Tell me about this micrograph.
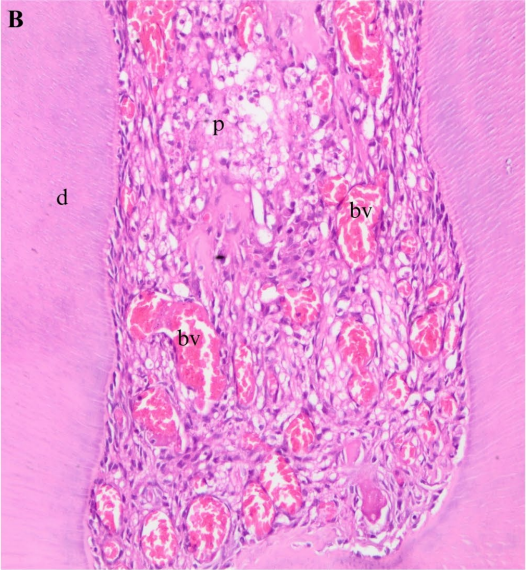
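A strip of pulp tissue lies between two broad walls of smooth pink dentin. Its stroma is crowded with many rounded, dilated blood vessels, each packed with bright red blood cells. Between the vessels lie spindle and round cells with purple nuclei in a loose, partly vacuolated matrix. This picture of crowded, blood-filled vessels is congestion of the pulp.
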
